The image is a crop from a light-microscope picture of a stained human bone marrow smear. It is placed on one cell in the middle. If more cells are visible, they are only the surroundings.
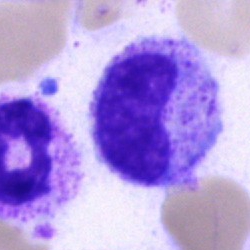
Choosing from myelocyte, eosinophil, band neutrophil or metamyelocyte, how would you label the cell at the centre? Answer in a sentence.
Regarding the central cell, it is a metamyelocyte.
